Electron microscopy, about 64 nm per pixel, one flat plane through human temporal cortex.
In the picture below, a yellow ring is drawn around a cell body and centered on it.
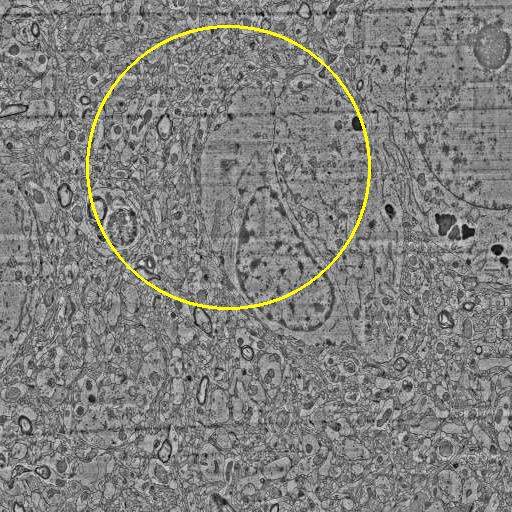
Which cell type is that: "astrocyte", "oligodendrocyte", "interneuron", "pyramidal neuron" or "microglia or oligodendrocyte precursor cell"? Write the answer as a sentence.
The cell centered in the ring is a microglial cell or oligodendrocyte precursor cell.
